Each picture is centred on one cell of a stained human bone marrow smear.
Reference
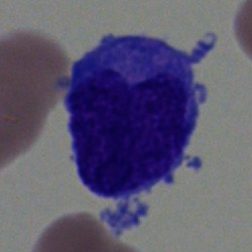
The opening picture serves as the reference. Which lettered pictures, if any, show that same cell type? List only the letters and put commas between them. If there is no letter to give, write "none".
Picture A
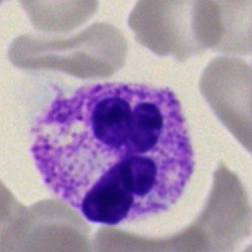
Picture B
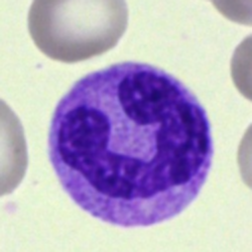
none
